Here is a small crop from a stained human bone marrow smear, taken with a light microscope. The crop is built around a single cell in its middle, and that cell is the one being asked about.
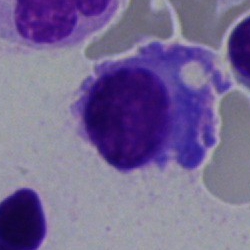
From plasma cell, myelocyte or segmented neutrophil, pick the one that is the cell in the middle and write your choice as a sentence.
In the centre of this crop there is a plasma cell.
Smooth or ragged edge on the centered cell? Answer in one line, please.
Rather than running smoothly, the cell border is ragged or carries projections.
